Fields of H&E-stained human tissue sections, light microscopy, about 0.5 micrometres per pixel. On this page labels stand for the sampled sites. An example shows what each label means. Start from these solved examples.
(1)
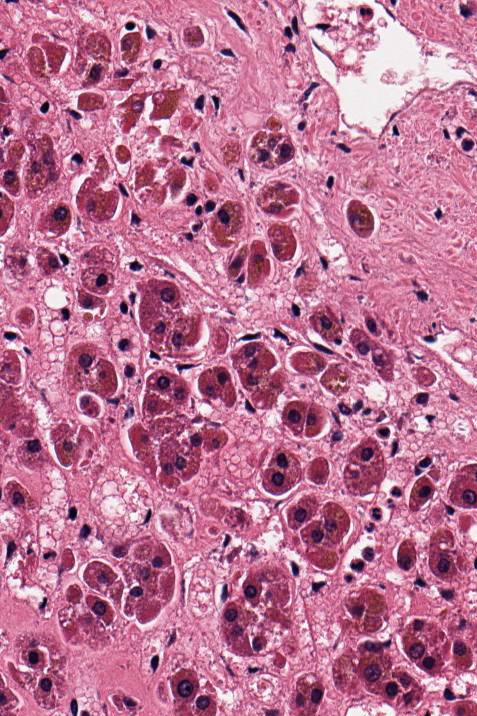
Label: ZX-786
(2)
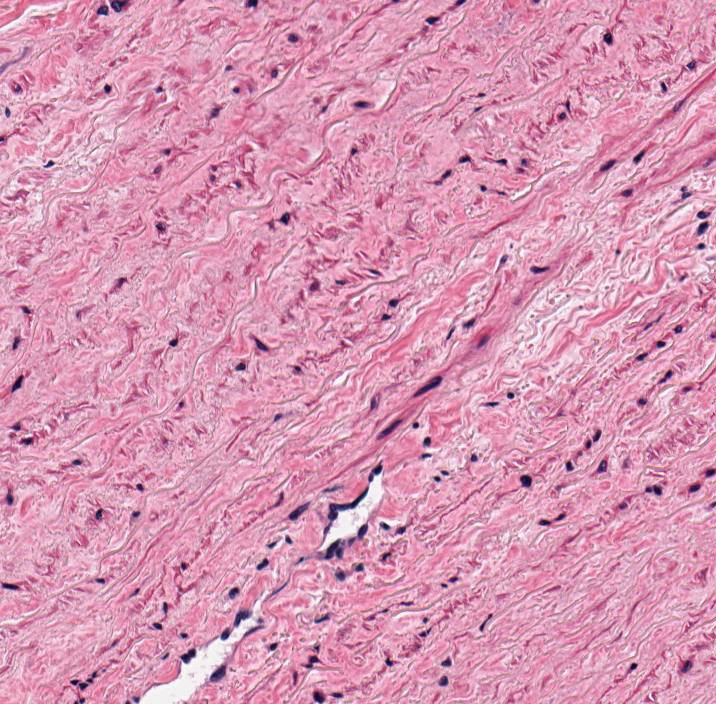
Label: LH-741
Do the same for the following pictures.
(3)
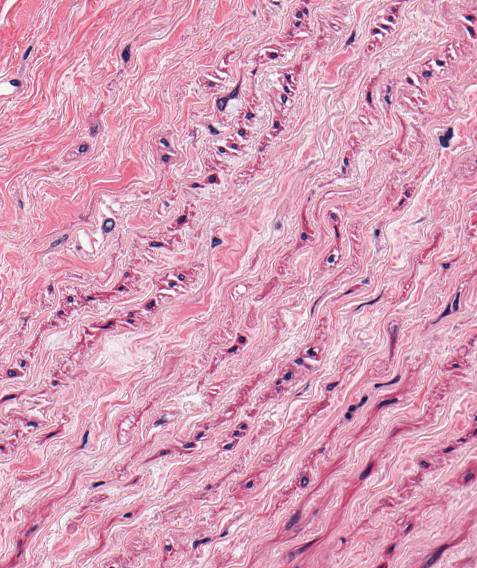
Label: LH-741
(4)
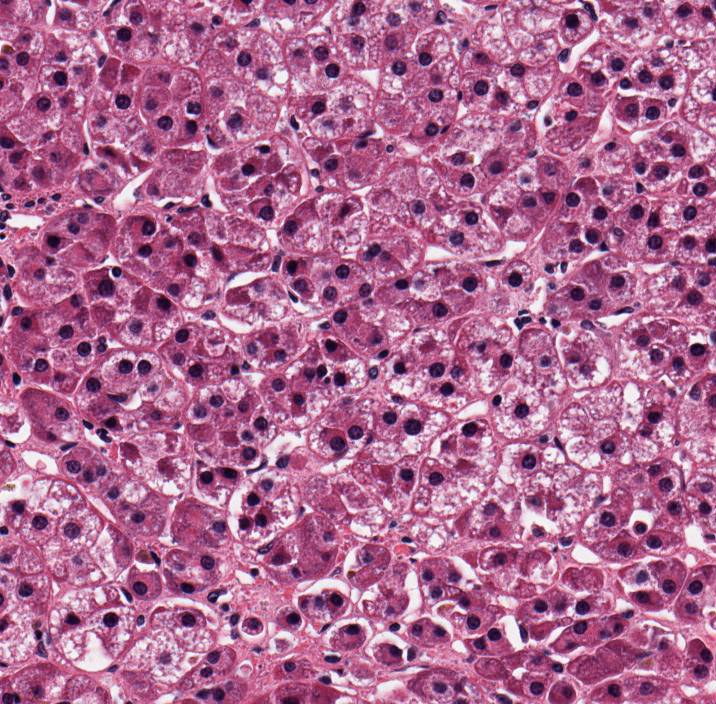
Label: ZX-786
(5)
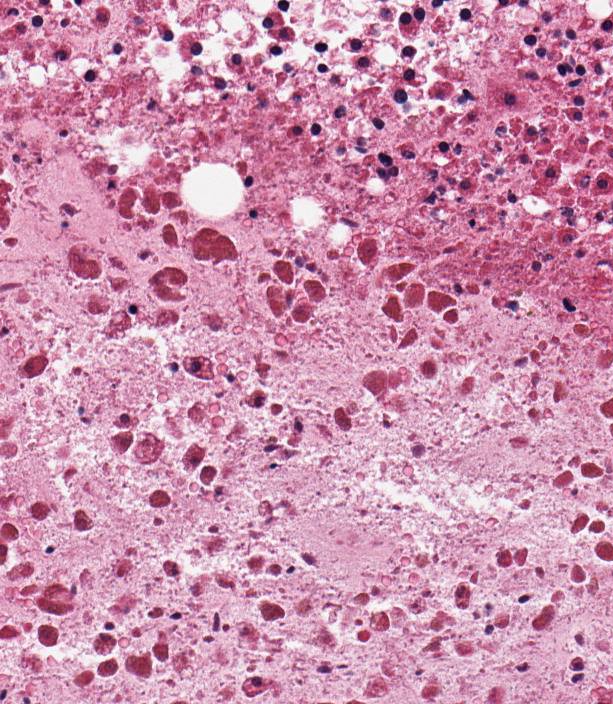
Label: ZX-786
